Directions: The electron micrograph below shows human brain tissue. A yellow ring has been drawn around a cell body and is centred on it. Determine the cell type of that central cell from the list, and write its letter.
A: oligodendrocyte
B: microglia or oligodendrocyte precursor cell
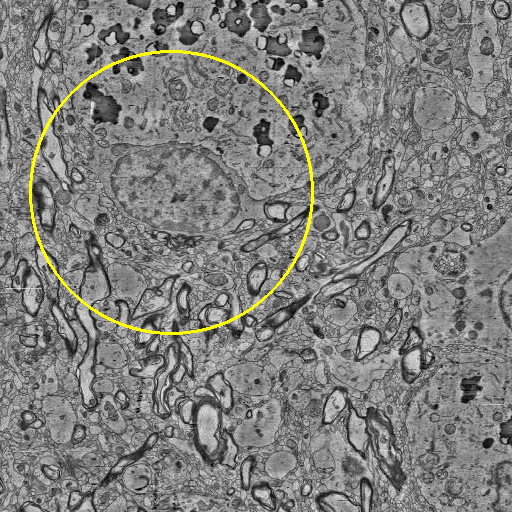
A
